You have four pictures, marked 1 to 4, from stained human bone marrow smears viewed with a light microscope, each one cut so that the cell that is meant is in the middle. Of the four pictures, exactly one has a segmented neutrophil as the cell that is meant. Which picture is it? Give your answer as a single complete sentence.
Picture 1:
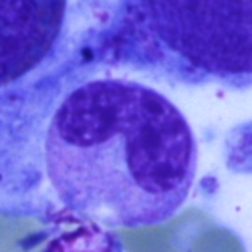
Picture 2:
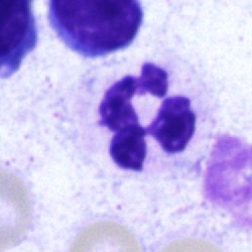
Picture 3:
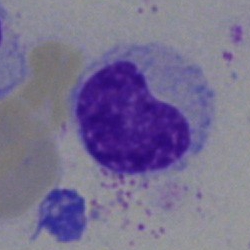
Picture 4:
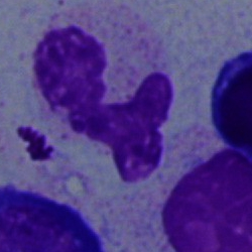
The cell in picture 2 is the segmented neutrophil.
